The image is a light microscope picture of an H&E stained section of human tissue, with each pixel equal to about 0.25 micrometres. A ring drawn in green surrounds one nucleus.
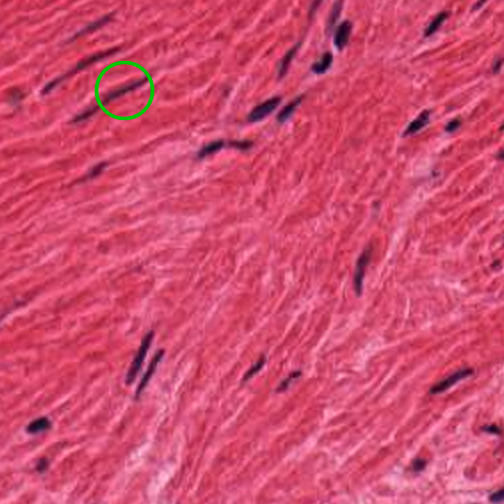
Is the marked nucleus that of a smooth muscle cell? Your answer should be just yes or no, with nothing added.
yes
